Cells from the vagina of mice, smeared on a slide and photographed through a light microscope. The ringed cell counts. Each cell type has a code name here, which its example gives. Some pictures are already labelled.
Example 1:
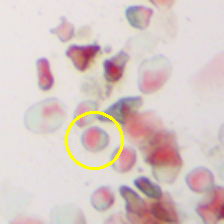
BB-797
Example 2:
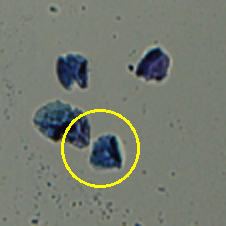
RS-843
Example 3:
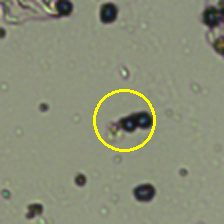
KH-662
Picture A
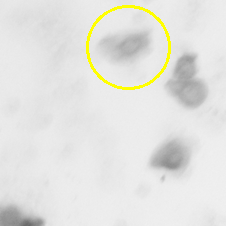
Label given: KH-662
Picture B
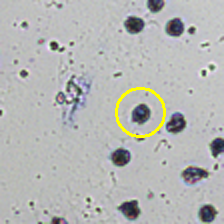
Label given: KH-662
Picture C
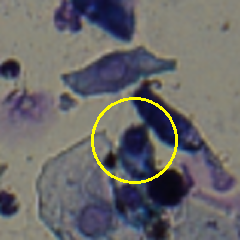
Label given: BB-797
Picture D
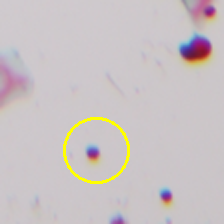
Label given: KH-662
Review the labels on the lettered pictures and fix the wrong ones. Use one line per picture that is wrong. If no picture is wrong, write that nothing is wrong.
A is labelled KH-662; correct label: BB-797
